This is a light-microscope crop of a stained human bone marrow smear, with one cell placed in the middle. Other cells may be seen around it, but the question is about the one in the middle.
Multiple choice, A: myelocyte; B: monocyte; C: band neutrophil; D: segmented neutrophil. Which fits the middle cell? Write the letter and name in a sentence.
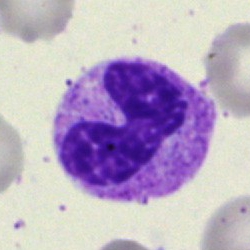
Option C is the right choice, the central cell being a band neutrophil.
